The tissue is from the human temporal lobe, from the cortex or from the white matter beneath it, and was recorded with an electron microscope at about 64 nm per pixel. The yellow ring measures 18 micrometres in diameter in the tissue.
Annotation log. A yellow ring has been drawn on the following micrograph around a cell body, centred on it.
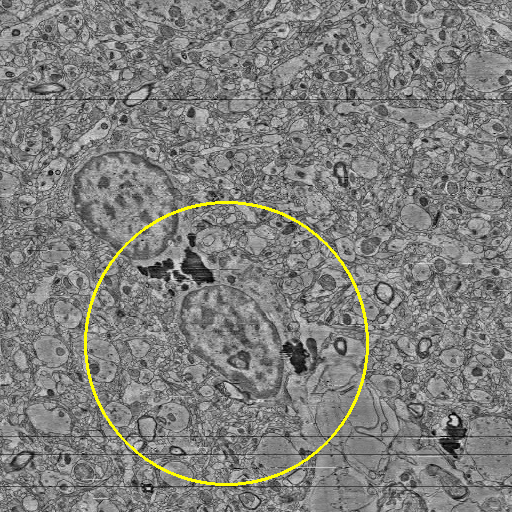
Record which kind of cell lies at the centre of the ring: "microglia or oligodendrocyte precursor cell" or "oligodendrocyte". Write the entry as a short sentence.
The cell the ring is centred on is an oligodendrocyte.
